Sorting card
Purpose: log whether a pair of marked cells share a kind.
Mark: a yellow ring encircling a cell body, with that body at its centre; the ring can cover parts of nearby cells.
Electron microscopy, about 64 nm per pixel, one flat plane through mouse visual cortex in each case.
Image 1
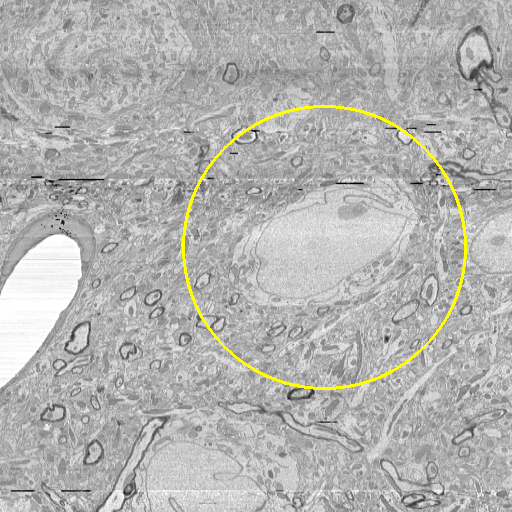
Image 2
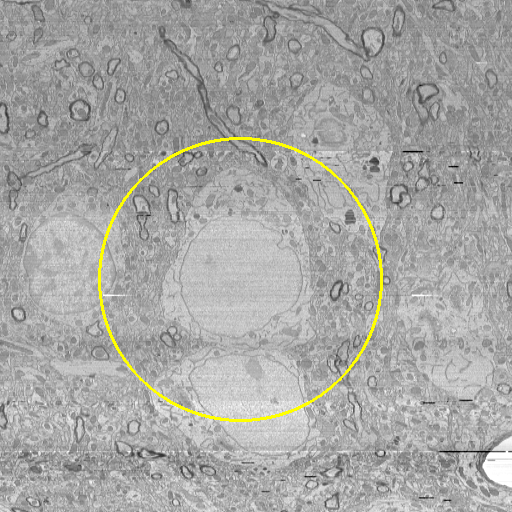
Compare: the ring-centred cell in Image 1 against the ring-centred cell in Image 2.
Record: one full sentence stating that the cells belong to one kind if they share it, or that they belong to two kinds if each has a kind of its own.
Across Images 1 and 2, the two ring-centred cells belong to one kind.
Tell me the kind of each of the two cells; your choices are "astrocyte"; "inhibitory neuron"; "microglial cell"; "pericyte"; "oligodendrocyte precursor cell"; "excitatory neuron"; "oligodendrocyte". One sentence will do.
In both pictures the ring is centred on an excitatory neuron.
